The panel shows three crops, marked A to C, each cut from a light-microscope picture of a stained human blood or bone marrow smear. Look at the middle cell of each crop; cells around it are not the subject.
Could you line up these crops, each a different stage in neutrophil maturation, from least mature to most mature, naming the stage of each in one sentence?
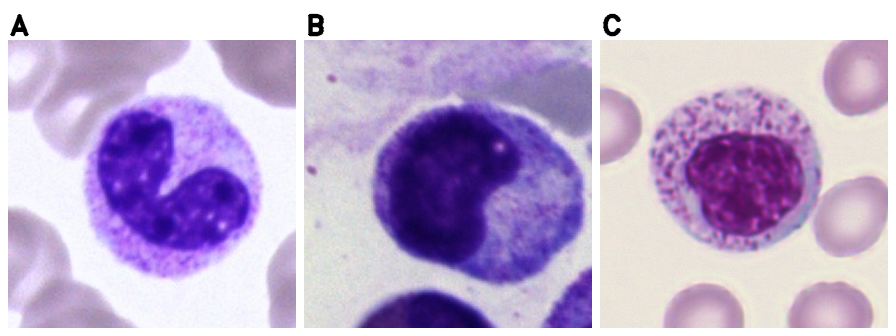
Ranked by maturation stage, earliest first, the crops read crop C (a myelocyte), crop B (a metamyelocyte) and crop A (a band neutrophil).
